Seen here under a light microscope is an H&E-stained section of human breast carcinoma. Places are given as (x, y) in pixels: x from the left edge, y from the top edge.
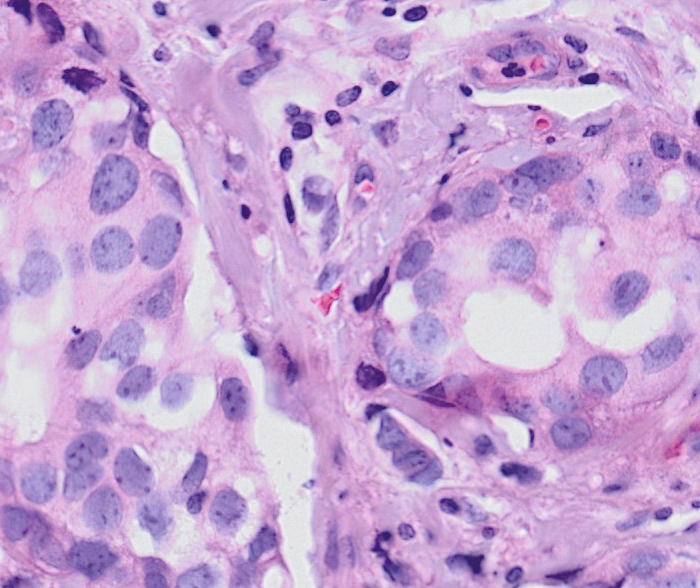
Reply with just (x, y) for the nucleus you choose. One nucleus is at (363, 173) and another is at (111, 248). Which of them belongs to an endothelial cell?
(363, 173)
